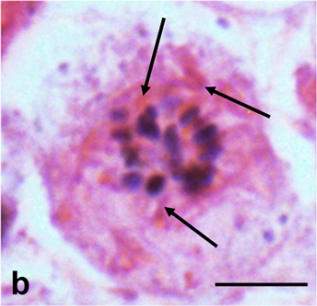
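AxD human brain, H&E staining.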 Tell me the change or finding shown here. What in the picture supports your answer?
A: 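Many small dark condensed chromosome bodies lie in an irregular cluster, not in a single plate. No intact round nucleus is visible in the large pink cell.
Hence: misaligned metaphase chromosomes.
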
